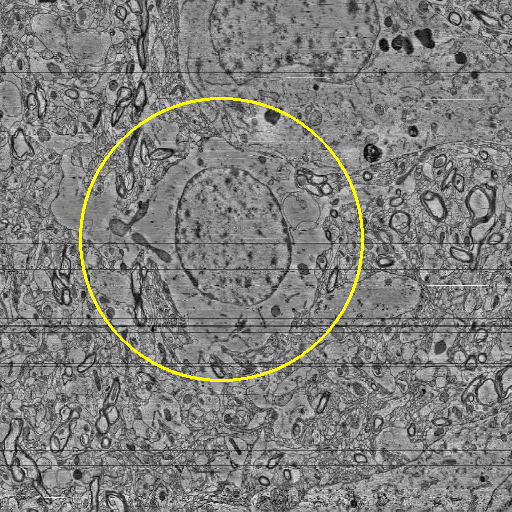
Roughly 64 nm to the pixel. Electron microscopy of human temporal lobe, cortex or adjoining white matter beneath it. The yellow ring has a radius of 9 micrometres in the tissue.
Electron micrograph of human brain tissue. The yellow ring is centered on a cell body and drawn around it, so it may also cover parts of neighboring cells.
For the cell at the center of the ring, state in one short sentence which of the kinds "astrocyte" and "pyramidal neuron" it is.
This ring is centered on an astrocyte.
